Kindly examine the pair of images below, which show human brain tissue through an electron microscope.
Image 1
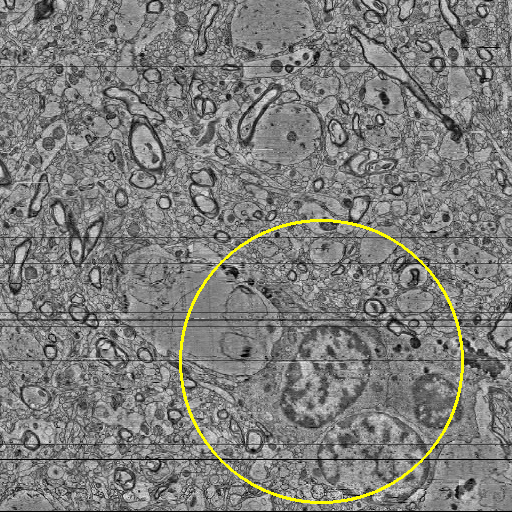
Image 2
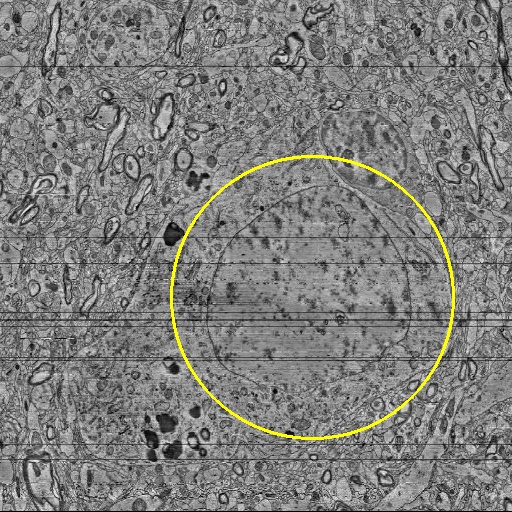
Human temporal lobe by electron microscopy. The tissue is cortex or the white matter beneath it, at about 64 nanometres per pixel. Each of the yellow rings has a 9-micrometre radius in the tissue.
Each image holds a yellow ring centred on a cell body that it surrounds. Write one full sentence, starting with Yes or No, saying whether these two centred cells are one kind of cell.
No, the cells at the centres of the yellow rings belong to two kinds of cell.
